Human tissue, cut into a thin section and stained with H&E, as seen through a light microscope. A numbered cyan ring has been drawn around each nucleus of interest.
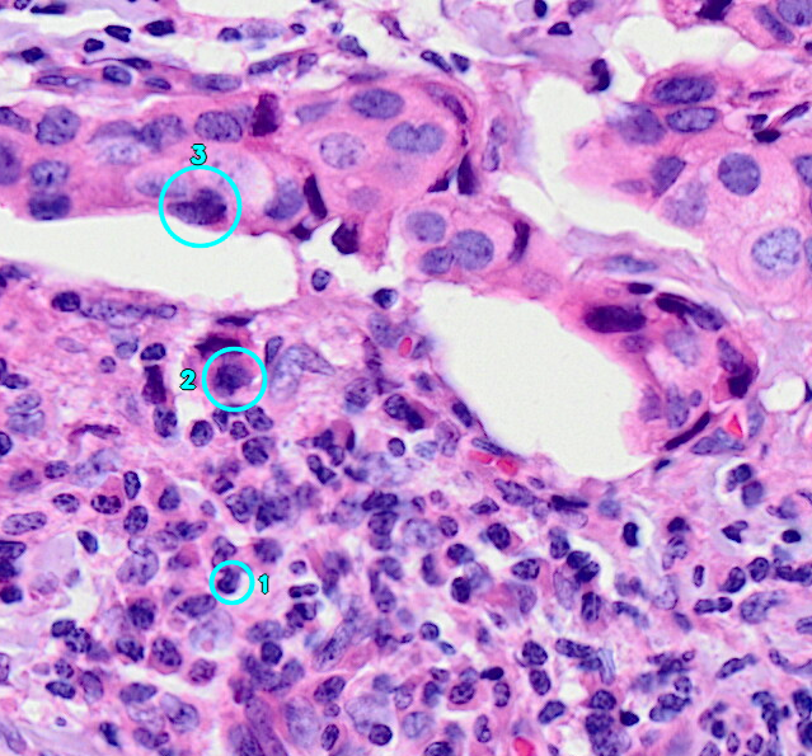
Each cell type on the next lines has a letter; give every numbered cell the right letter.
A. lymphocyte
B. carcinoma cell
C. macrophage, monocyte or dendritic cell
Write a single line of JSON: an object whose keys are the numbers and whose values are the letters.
{"1": "A", "2": "B", "3": "B"}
